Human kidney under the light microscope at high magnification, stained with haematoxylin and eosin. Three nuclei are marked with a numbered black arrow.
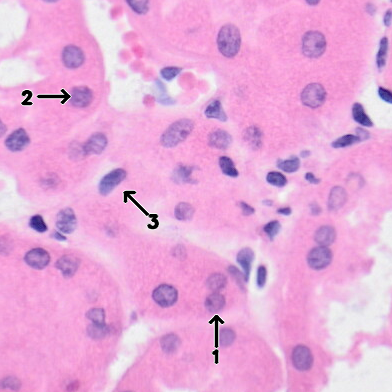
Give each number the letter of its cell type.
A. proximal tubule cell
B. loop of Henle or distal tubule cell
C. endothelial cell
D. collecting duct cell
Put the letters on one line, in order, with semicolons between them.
A; A; C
